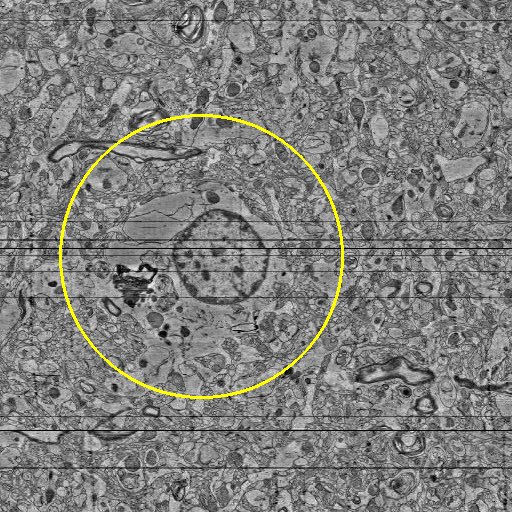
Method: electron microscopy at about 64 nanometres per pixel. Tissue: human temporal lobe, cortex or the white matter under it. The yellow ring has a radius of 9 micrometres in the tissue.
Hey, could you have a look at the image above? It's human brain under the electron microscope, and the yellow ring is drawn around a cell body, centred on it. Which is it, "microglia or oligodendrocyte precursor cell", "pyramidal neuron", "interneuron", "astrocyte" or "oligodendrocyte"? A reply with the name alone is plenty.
astrocyte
